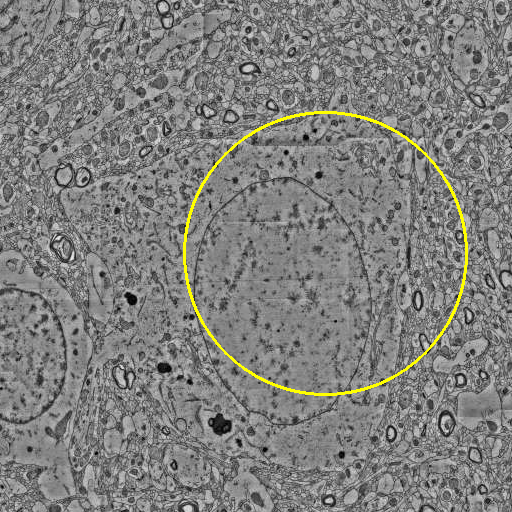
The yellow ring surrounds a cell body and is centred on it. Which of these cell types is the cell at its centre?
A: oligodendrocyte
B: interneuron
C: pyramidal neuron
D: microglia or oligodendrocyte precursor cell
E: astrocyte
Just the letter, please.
C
